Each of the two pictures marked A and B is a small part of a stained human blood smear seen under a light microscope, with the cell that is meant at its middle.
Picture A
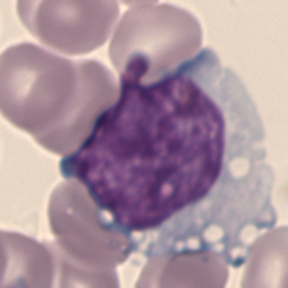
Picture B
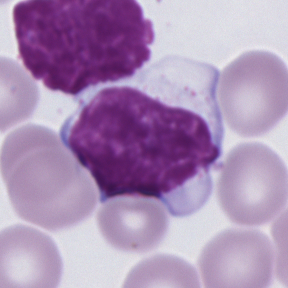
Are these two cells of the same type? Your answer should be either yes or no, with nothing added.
no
